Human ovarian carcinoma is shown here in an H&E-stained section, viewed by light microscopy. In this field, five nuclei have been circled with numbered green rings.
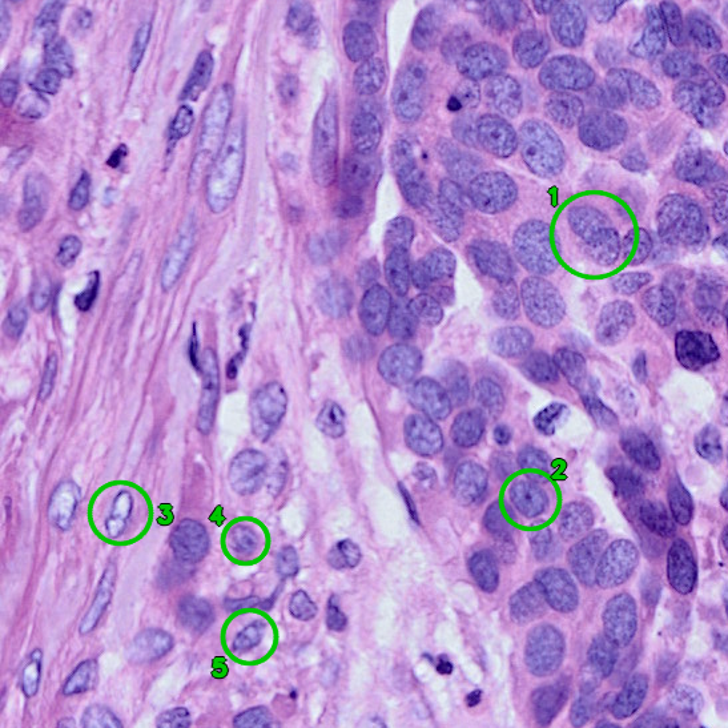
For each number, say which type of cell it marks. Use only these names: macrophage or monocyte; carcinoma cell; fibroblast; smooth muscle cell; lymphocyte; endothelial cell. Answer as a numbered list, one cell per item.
1. carcinoma cell
2. carcinoma cell
3. fibroblast
4. fibroblast
5. fibroblast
